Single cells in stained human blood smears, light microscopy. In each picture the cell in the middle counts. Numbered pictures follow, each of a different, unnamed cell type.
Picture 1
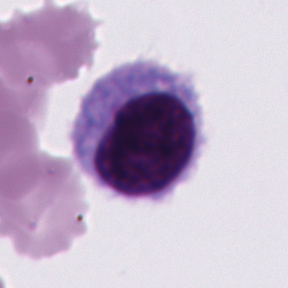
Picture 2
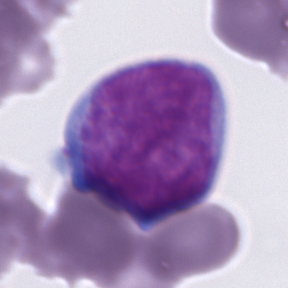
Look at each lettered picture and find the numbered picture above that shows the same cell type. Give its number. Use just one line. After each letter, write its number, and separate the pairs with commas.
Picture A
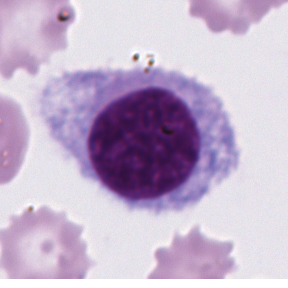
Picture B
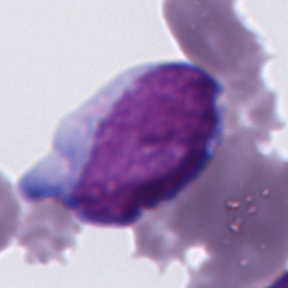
A 1, B 2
